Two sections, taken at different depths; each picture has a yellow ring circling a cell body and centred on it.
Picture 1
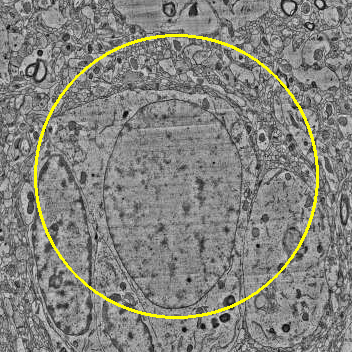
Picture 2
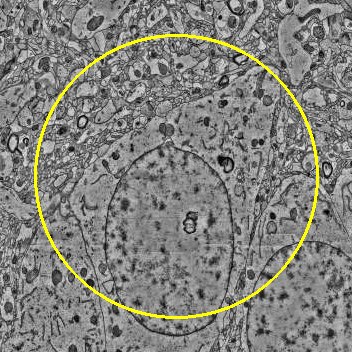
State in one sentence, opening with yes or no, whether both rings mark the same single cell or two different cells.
No, the yellow rings mark two cells that are not the same.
